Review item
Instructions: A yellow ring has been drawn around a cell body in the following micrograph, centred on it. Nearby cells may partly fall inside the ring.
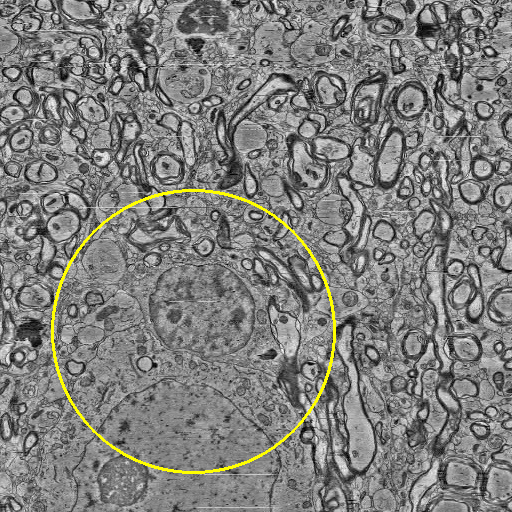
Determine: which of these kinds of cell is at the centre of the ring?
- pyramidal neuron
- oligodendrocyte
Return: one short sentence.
The cell body in the middle of the ring is that of an oligodendrocyte.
